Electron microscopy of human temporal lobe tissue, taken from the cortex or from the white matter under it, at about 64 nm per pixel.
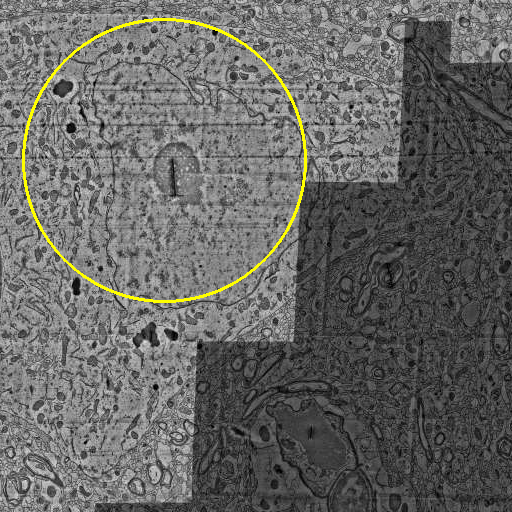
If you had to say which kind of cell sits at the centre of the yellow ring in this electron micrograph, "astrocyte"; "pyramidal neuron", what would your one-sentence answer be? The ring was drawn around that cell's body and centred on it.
The cell sitting at the centre of the ring is a pyramidal neuron.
